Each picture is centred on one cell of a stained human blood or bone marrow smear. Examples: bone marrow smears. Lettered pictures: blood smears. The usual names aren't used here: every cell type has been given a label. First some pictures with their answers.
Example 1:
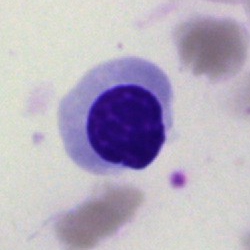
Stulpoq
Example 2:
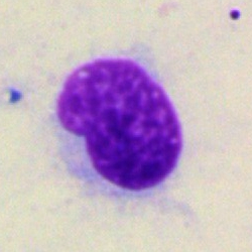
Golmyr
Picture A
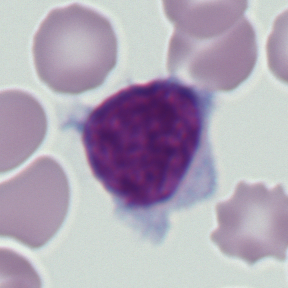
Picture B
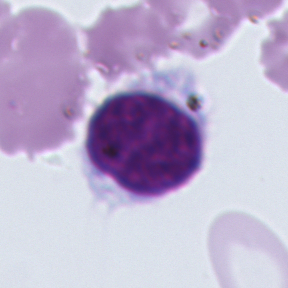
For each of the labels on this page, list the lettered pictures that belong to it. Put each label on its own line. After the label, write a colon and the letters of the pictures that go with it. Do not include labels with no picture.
Golmyr: A, B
